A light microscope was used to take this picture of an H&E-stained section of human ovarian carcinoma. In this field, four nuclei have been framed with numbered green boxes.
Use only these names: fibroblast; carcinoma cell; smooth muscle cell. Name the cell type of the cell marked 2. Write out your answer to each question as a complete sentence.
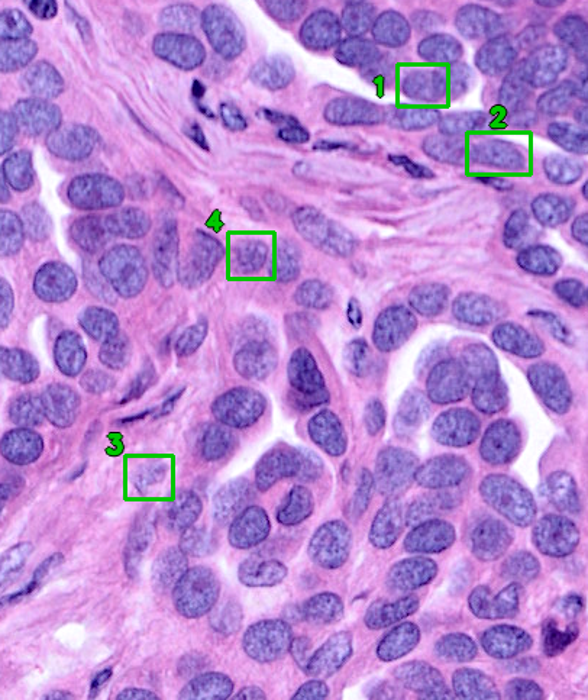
The cell pointed out as number 2 is a carcinoma cell.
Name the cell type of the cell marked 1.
The cell that is numbered 1 is a carcinoma cell.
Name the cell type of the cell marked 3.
In this section, number 3 marks a fibroblast.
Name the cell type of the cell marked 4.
In this section, number 4 marks a carcinoma cell.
